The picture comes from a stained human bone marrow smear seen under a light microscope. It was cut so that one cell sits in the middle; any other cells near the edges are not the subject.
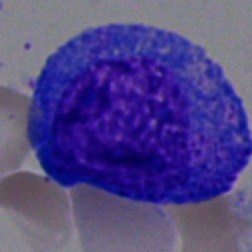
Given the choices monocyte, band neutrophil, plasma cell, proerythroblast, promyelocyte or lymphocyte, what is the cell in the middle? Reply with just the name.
promyelocyte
